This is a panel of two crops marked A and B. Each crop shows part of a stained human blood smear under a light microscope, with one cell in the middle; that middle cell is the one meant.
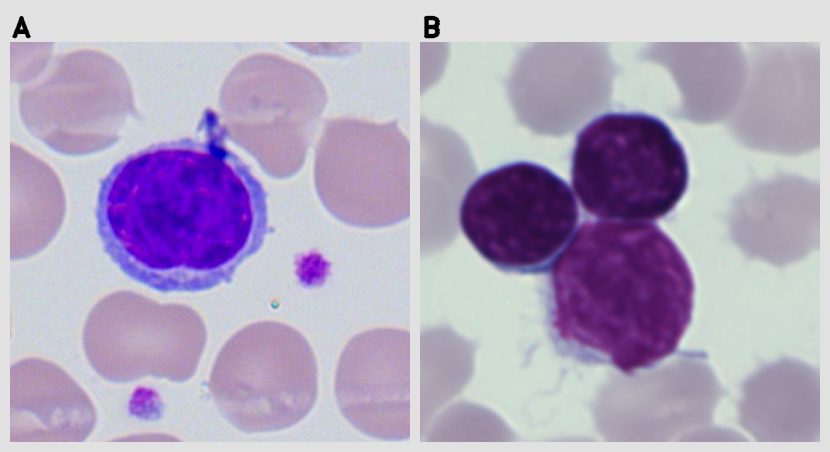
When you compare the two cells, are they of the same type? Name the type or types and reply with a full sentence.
No, crop A contains a lymphocyte, and crop B contains a blast.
